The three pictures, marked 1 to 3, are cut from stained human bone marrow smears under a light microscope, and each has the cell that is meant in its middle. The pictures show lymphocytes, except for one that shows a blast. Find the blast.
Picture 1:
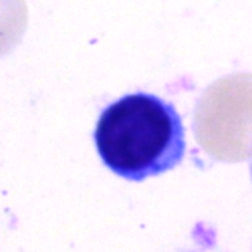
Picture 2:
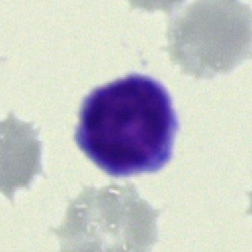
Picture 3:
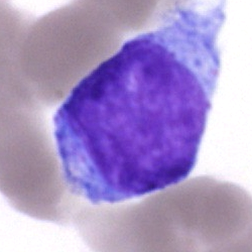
3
